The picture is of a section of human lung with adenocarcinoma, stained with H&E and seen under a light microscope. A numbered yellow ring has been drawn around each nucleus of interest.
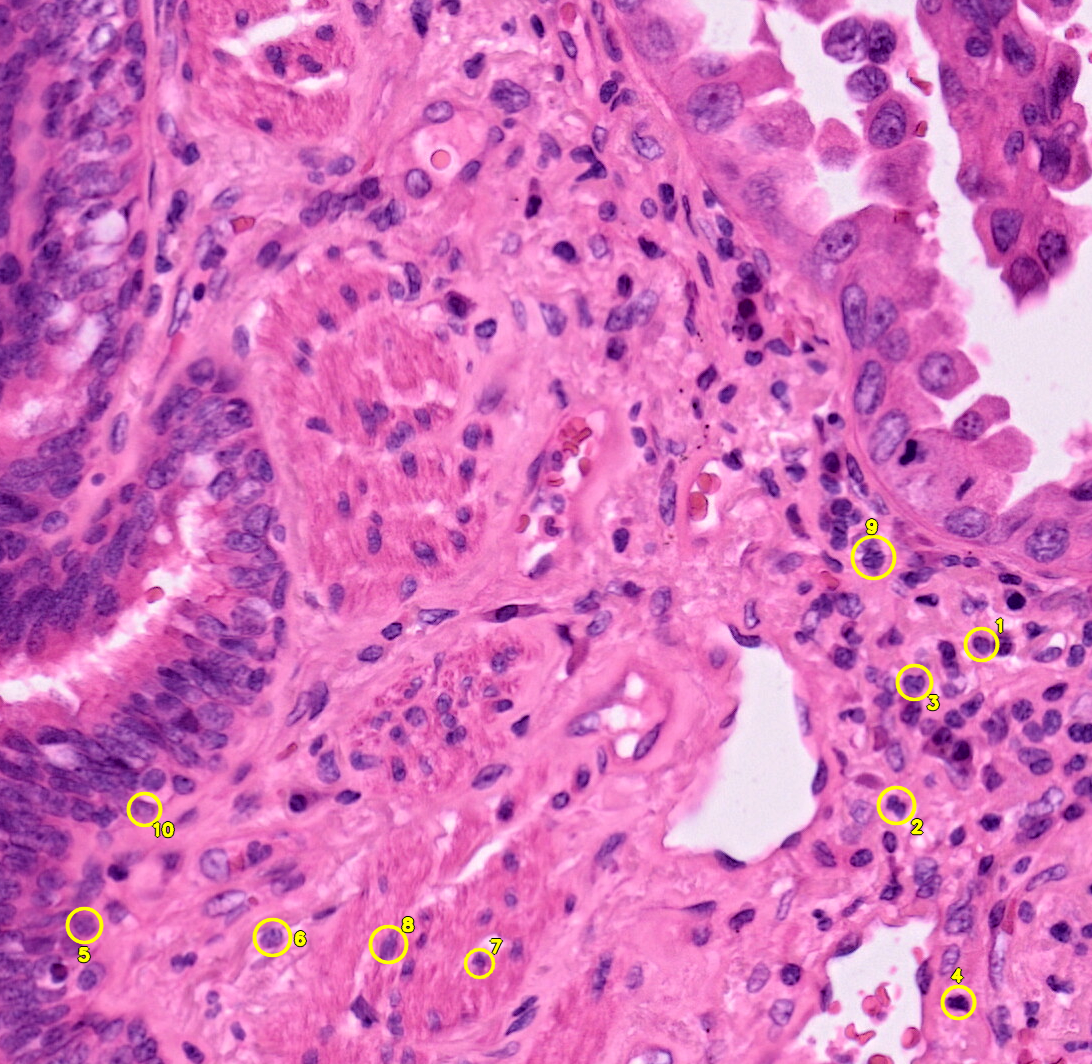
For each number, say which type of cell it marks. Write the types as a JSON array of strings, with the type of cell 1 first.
["lymphocyte", "lymphocyte", "lymphocyte", "lymphocyte", "ciliated epithelial cell", "mast cell", "smooth muscle cell or pericyte", "smooth muscle cell or pericyte", "lymphocyte", "ciliated epithelial cell"]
